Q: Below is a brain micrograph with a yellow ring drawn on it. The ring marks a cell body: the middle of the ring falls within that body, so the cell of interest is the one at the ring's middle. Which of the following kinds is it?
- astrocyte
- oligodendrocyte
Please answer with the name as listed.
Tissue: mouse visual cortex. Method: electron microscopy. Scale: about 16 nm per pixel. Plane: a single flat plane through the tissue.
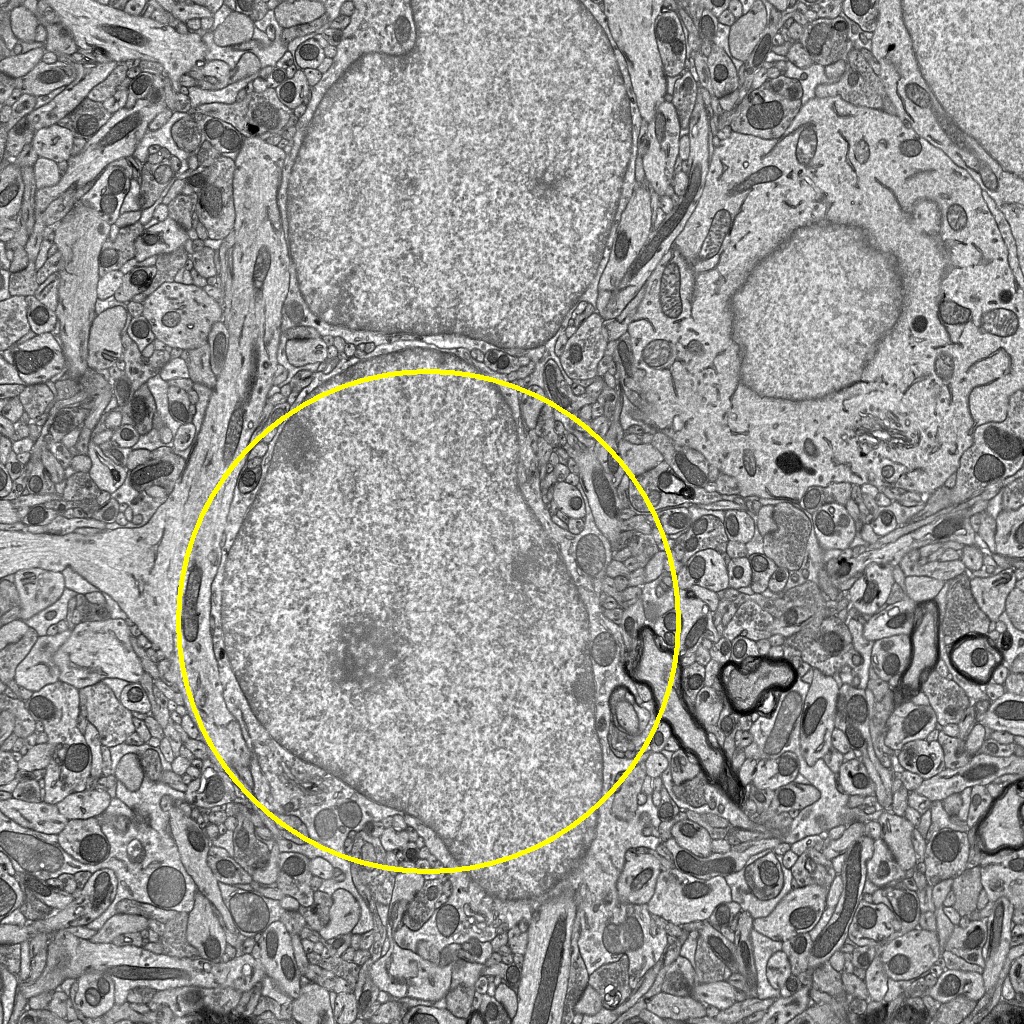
astrocyte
